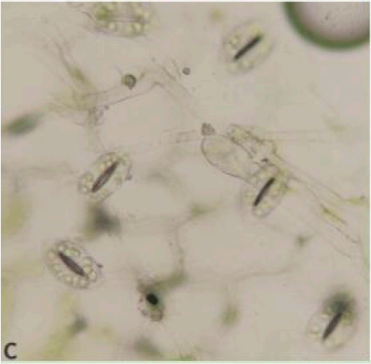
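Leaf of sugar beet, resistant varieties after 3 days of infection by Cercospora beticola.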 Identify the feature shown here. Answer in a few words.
Stomata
